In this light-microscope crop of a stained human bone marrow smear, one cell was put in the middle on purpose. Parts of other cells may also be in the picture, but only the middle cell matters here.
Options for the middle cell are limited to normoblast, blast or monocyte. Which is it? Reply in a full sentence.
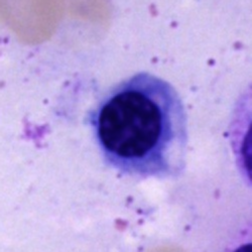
The cell around which this crop is centred is a normoblast.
